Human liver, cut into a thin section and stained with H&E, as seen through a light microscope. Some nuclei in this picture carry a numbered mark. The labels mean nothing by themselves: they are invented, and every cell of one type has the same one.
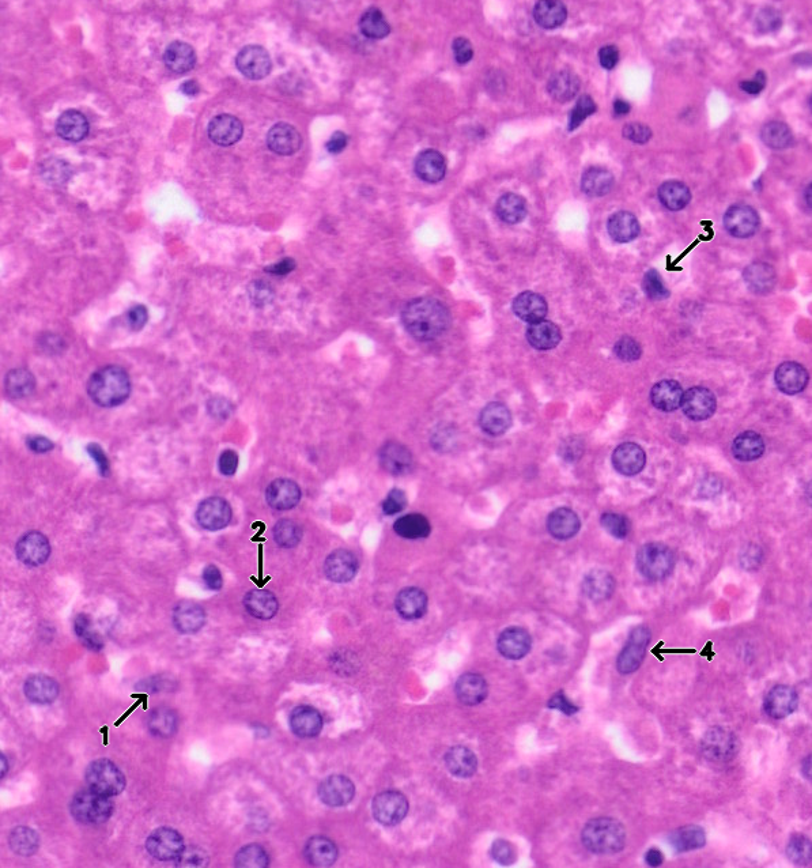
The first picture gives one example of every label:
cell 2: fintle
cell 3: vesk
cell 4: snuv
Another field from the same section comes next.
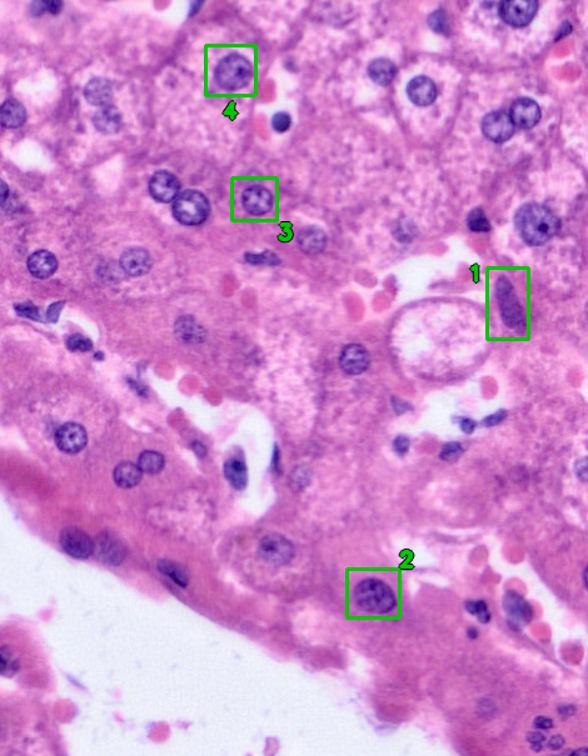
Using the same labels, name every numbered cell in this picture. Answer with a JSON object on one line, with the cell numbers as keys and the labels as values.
{"1": "snuv", "2": "fintle", "3": "fintle", "4": "fintle"}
